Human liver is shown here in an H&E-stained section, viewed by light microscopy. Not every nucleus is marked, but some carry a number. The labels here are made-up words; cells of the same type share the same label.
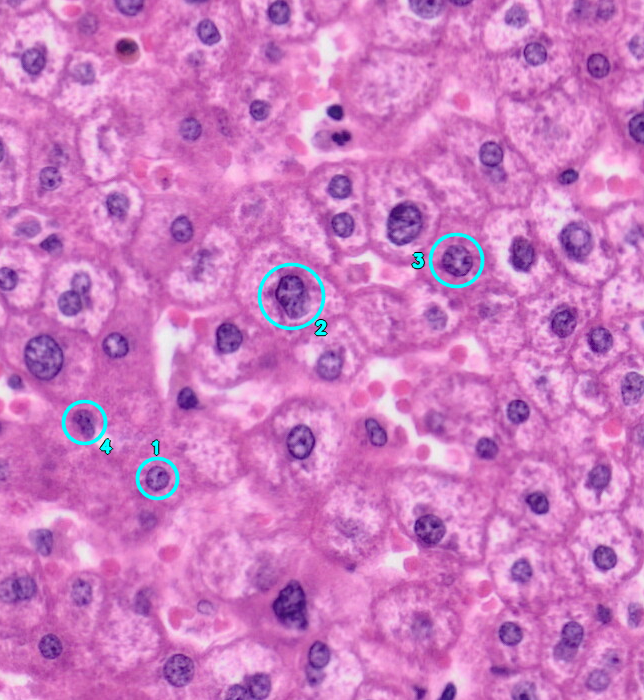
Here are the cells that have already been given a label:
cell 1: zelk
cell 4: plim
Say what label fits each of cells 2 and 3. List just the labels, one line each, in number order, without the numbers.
zelk
zelk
